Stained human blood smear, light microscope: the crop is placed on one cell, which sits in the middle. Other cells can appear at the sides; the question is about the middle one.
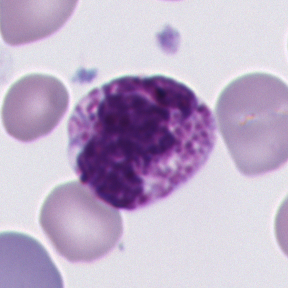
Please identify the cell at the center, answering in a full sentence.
In the central position of this crop, the cell is a basophil.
